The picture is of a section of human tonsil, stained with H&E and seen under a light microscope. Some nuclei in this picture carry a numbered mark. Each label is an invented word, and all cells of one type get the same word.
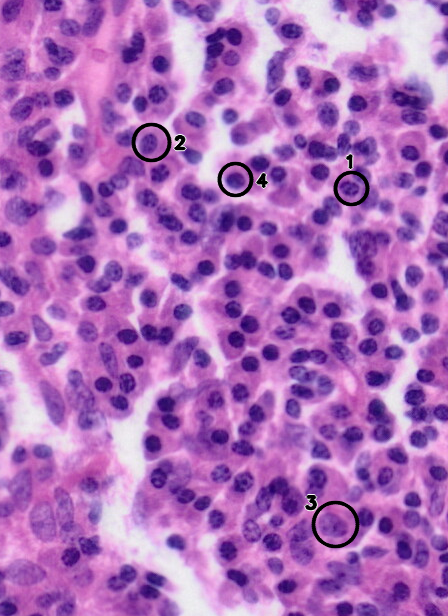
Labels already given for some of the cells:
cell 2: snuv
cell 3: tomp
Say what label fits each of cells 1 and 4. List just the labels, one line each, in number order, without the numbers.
snuv
snuv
